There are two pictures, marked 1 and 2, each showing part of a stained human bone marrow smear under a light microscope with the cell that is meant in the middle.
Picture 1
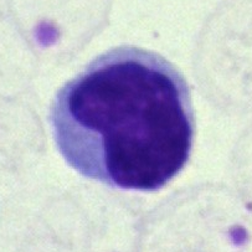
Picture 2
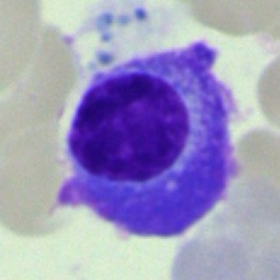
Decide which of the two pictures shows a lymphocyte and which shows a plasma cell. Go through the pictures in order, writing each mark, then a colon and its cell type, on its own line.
1: lymphocyte
2: plasma cell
